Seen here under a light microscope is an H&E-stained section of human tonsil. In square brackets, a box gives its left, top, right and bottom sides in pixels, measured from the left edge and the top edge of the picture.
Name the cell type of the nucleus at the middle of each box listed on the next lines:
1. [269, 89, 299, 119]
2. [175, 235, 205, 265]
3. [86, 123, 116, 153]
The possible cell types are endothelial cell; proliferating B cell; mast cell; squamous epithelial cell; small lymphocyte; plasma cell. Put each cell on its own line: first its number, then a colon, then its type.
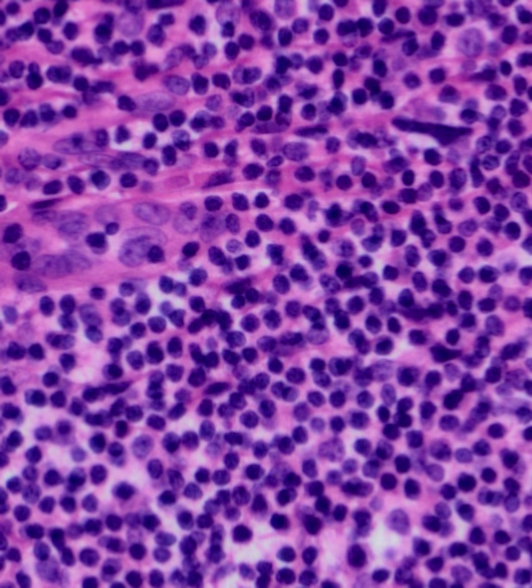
1: small lymphocyte
2: endothelial cell
3: endothelial cell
